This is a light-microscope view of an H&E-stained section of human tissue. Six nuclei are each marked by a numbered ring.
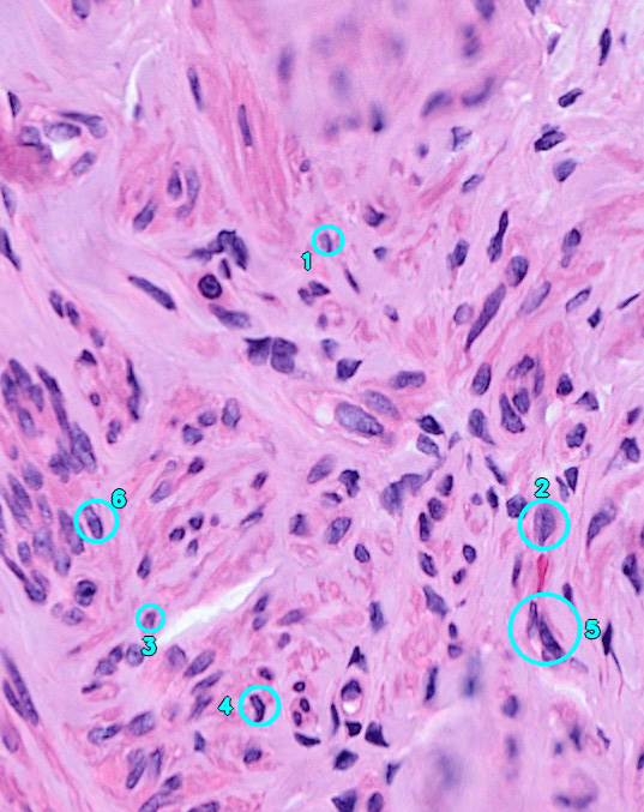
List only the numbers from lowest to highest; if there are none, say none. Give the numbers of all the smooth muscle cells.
1, 3, 4, 6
